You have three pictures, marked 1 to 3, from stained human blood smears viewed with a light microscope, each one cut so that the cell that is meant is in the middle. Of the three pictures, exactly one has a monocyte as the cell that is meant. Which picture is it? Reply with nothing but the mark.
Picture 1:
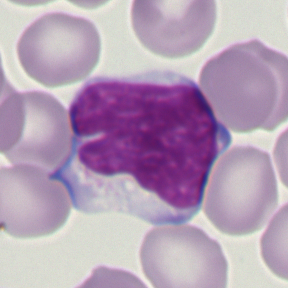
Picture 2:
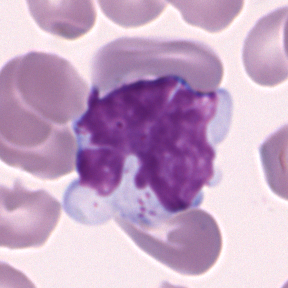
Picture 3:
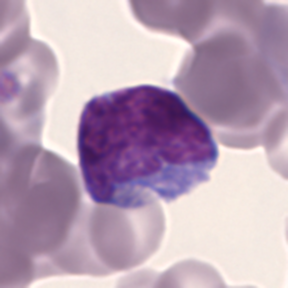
3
